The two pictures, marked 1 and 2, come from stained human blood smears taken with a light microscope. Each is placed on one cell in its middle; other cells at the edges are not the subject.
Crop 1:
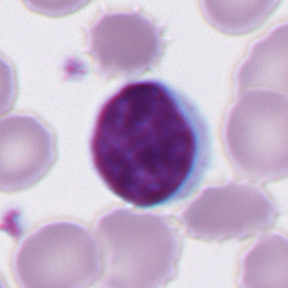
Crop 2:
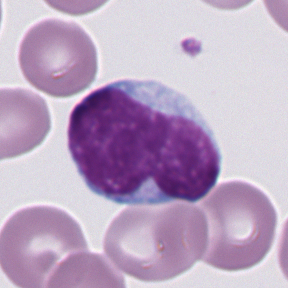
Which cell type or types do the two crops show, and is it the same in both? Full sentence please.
Yes, both crops are centred on cells that are typical lymphocytes.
